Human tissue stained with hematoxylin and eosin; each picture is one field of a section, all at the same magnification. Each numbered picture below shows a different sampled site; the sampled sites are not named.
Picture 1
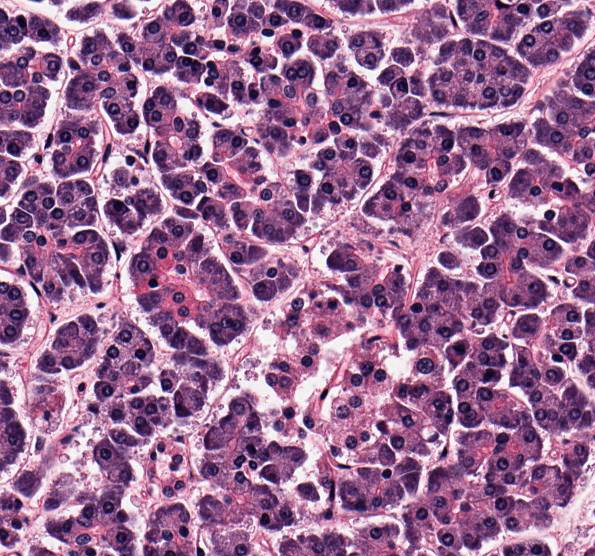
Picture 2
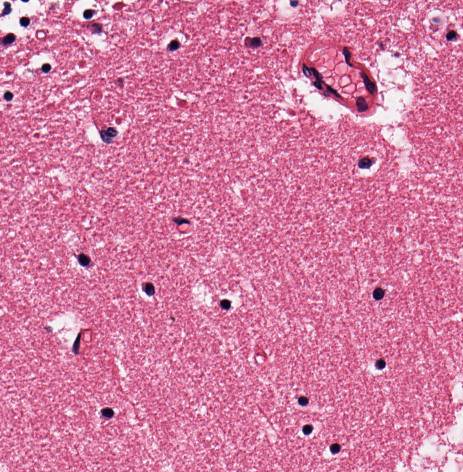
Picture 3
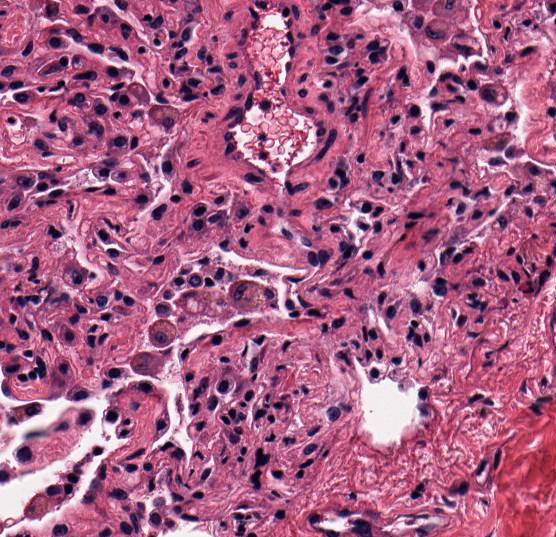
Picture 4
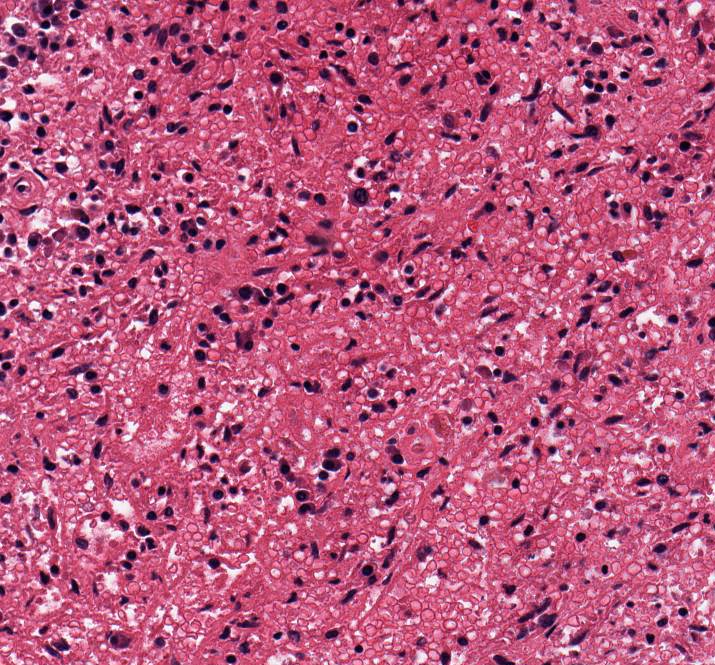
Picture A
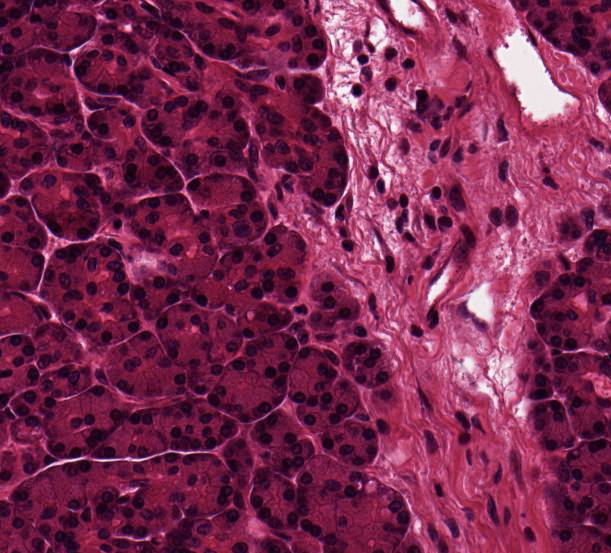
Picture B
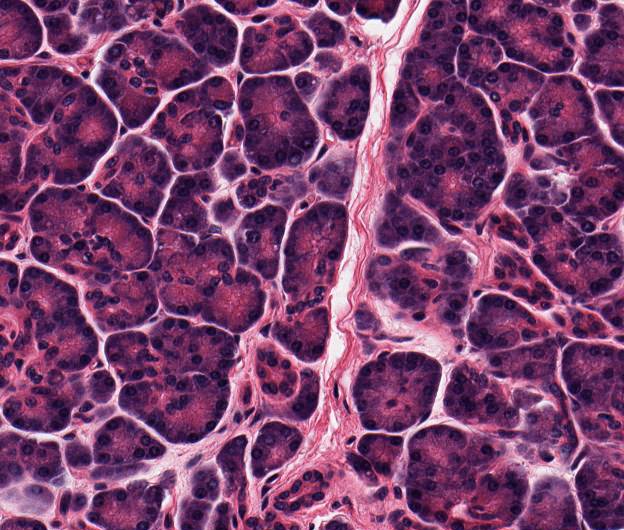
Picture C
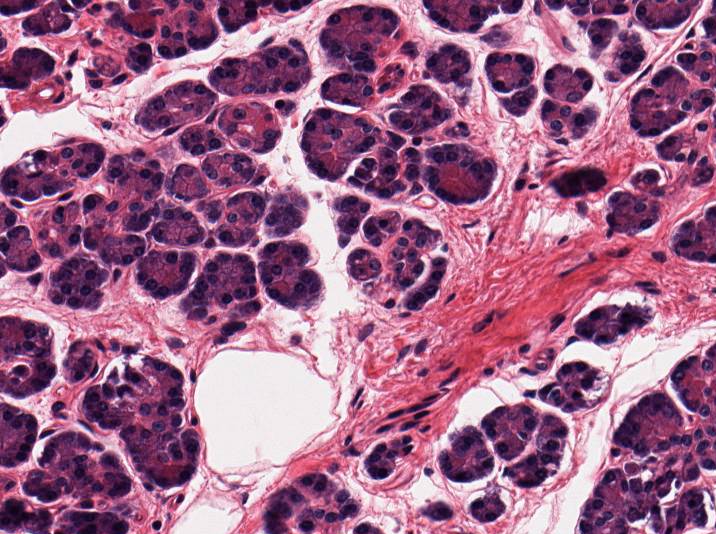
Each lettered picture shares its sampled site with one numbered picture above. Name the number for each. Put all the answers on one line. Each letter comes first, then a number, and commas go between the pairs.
A 1, B 1, C 1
